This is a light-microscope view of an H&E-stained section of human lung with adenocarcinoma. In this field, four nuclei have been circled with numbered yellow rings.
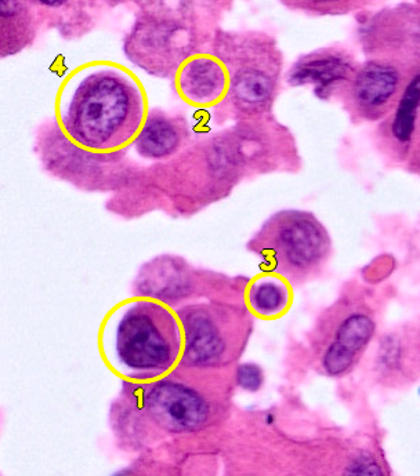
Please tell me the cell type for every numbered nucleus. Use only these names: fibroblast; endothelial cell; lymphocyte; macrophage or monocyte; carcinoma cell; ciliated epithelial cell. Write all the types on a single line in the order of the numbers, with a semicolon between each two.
carcinoma cell; macrophage or monocyte; lymphocyte; carcinoma cell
